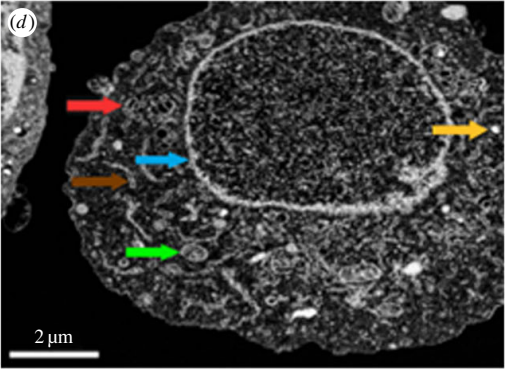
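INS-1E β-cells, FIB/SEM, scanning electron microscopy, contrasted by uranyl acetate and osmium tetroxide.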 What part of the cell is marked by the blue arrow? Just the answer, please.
nuclear envelope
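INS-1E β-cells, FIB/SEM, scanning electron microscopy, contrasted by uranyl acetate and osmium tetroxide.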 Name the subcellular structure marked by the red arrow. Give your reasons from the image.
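Golgi apparatus. The arrow points into the cytoplasm outside the nucleus. Curved membrane profiles lie in the cytoplasm near the arrow tip.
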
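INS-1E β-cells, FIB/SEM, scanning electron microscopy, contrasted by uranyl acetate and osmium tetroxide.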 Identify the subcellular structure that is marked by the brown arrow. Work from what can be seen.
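The arrow points to thin elongated membrane profiles in the cytoplasm. The profiles lie between the nucleus and the cell edge. That points to this answer: endoplasmic reticulum.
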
